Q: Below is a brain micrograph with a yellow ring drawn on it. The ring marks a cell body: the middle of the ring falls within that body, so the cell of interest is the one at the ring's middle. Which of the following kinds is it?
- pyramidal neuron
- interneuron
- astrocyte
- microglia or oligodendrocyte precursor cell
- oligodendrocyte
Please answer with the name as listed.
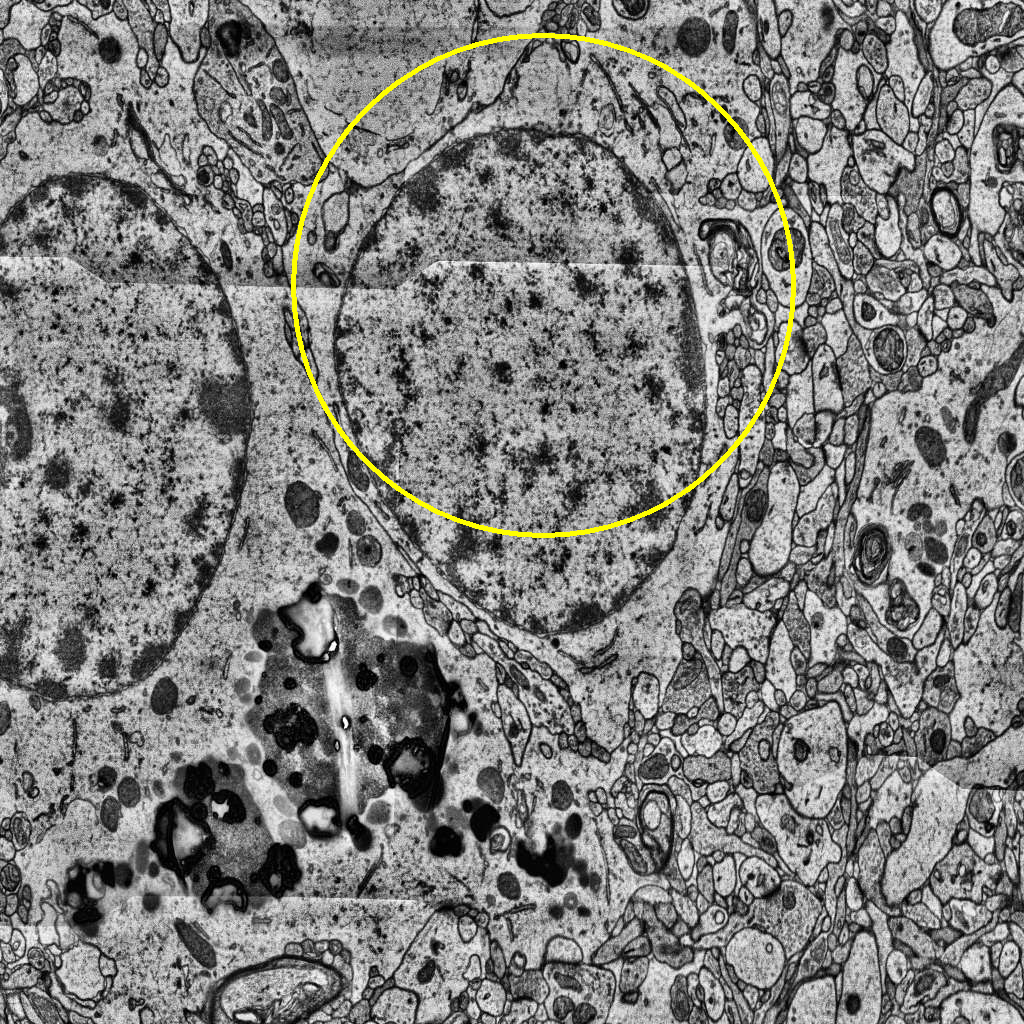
astrocyte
